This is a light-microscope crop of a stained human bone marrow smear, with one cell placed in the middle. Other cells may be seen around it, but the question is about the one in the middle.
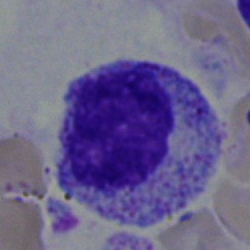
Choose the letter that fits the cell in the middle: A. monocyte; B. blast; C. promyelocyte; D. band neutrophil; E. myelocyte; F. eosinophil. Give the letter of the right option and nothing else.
E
